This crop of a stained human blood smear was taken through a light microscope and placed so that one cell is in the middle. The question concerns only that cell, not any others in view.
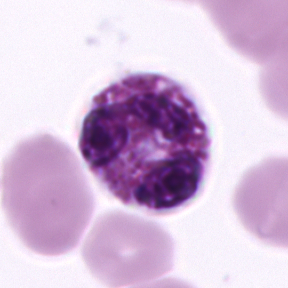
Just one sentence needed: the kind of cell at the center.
On this slide crop, the central cell is an eosinophil.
